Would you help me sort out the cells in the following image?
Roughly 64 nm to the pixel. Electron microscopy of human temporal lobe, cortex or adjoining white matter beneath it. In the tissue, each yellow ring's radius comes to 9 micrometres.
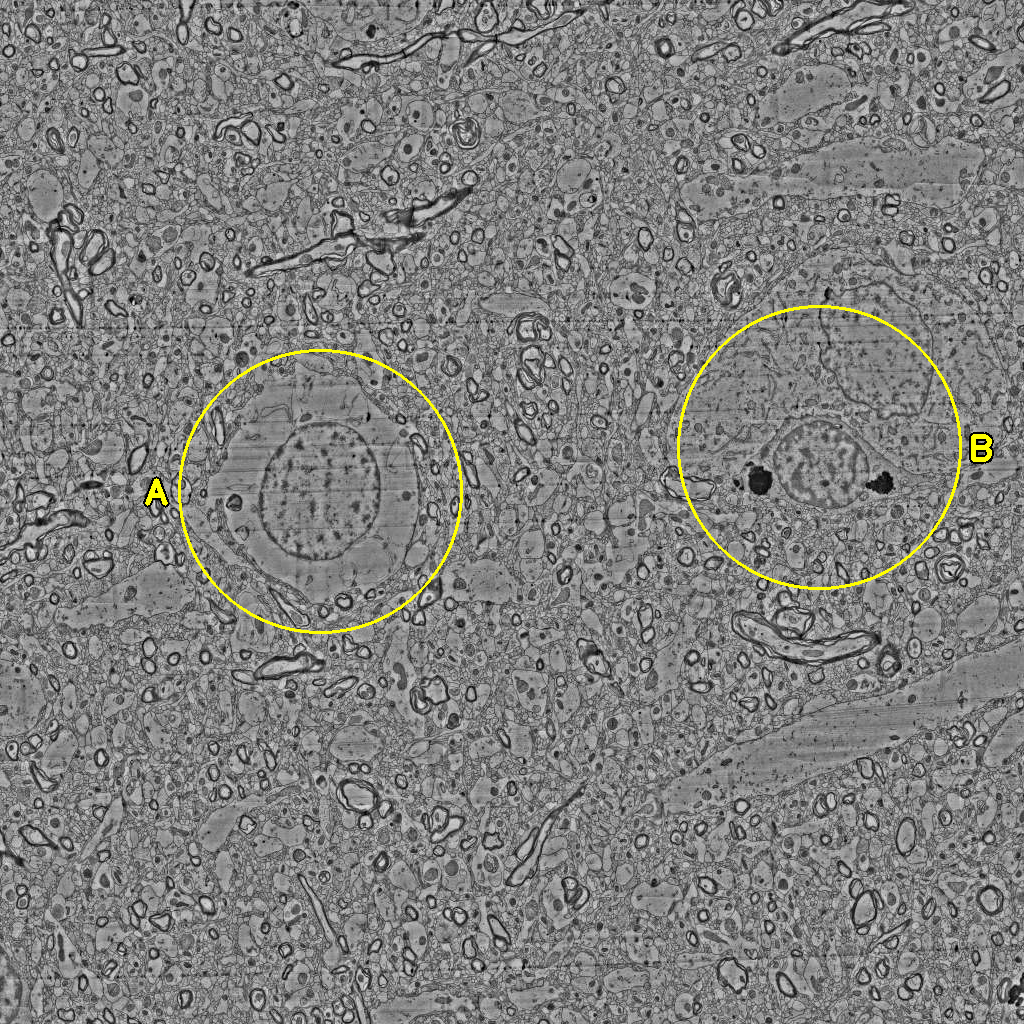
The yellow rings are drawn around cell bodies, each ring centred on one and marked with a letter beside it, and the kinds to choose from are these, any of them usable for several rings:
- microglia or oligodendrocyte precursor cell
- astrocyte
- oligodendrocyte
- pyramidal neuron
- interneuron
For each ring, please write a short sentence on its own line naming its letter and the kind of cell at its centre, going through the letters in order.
Ring A is centred on the cell body of an astrocyte.
Ring B is centred on the cell body of an oligodendrocyte.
